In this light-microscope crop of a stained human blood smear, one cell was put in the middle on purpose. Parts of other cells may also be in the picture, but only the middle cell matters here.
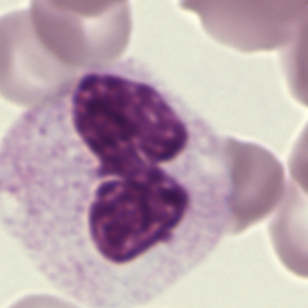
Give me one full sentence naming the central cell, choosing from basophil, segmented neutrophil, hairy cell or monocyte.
The centrally positioned cell in the crop represents a segmented neutrophil.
